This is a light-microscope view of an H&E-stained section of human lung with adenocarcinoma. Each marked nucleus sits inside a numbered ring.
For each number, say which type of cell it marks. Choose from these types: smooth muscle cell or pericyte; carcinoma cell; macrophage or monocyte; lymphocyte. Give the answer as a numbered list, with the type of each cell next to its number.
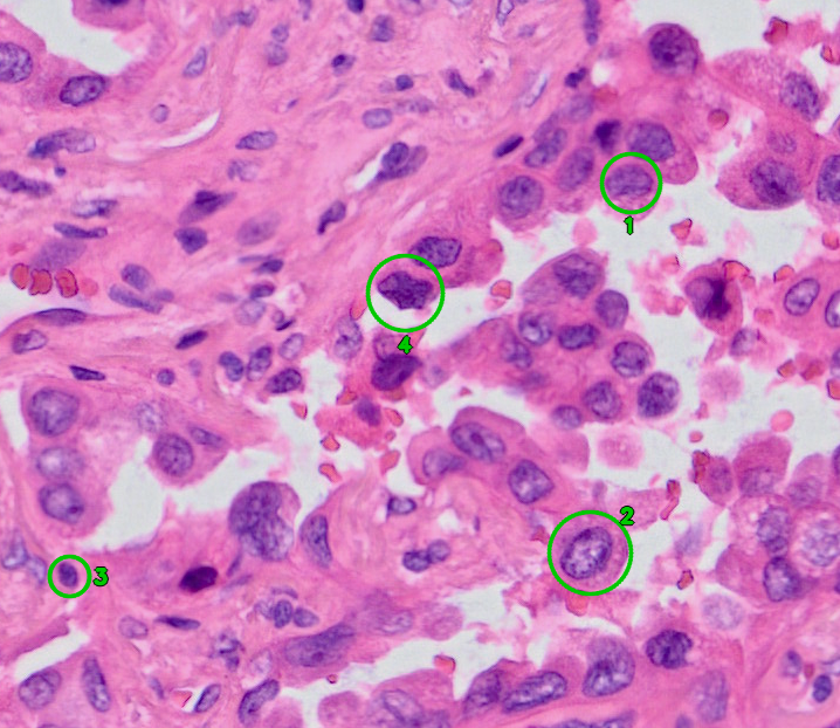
1. carcinoma cell
2. carcinoma cell
3. lymphocyte
4. carcinoma cell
